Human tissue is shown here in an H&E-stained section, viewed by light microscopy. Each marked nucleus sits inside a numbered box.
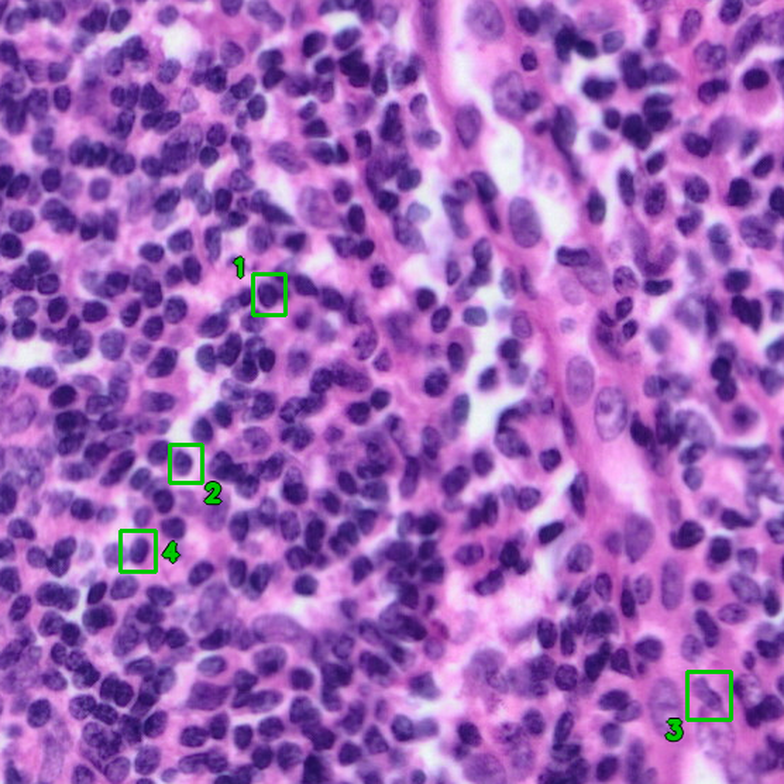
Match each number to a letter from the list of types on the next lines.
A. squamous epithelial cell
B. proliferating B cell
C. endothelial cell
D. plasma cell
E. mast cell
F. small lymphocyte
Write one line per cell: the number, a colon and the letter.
1: F
2: F
3: C
4: F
